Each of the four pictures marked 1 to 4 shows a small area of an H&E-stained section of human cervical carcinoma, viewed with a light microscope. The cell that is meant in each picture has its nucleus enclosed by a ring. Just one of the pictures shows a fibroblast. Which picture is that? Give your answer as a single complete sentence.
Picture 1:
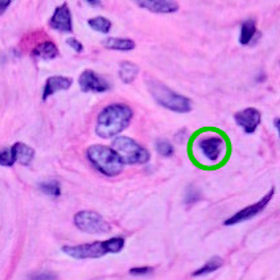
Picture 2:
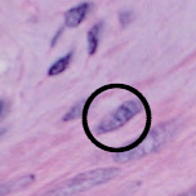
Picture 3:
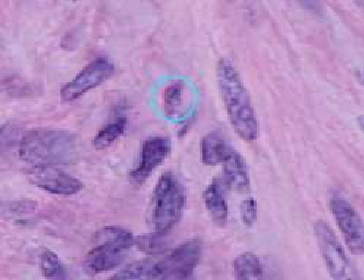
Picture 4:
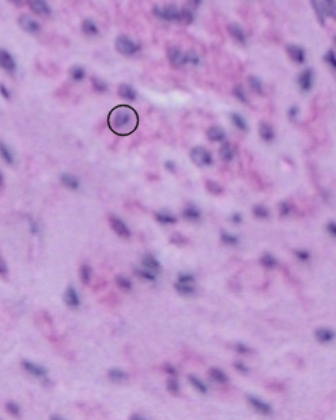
The cell in picture 1 is the fibroblast.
